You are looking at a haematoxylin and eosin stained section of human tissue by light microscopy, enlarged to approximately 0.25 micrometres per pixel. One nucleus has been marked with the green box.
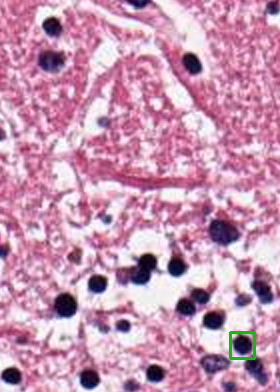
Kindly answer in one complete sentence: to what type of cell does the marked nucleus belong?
Here the marked nucleus belongs to a cerebellar granule cell.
